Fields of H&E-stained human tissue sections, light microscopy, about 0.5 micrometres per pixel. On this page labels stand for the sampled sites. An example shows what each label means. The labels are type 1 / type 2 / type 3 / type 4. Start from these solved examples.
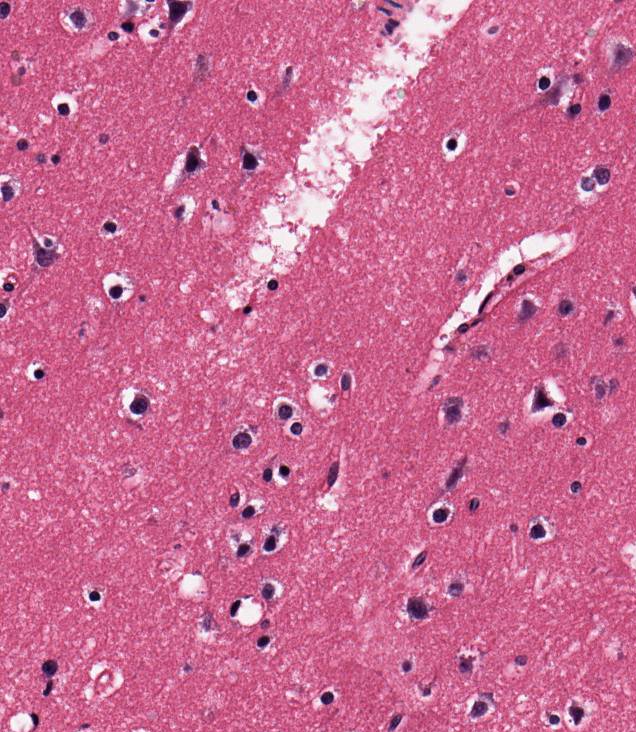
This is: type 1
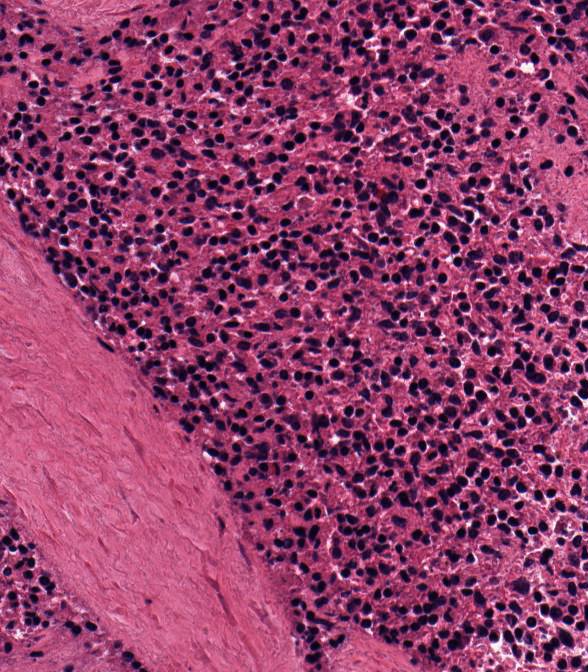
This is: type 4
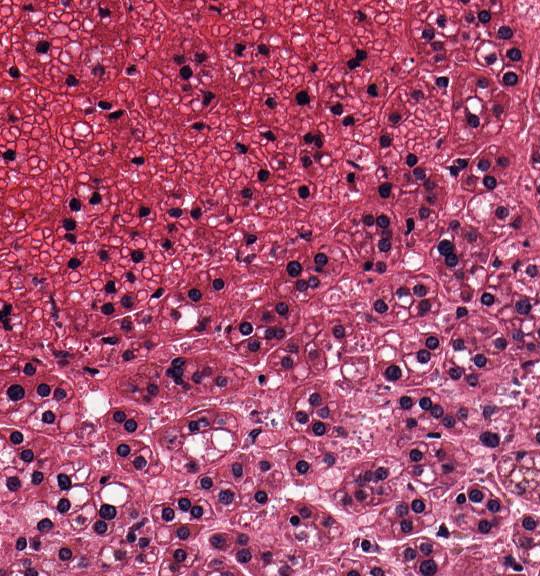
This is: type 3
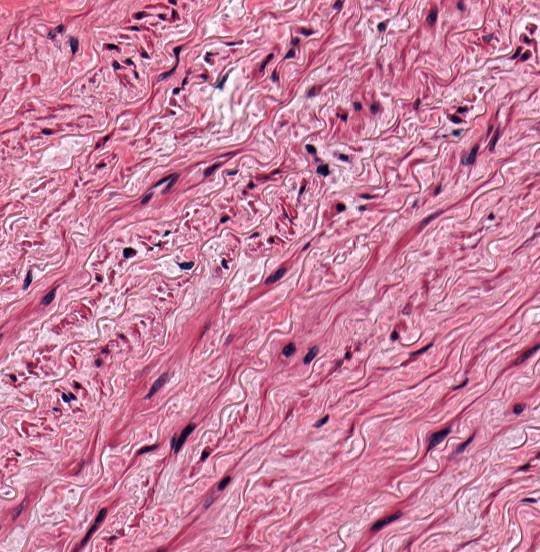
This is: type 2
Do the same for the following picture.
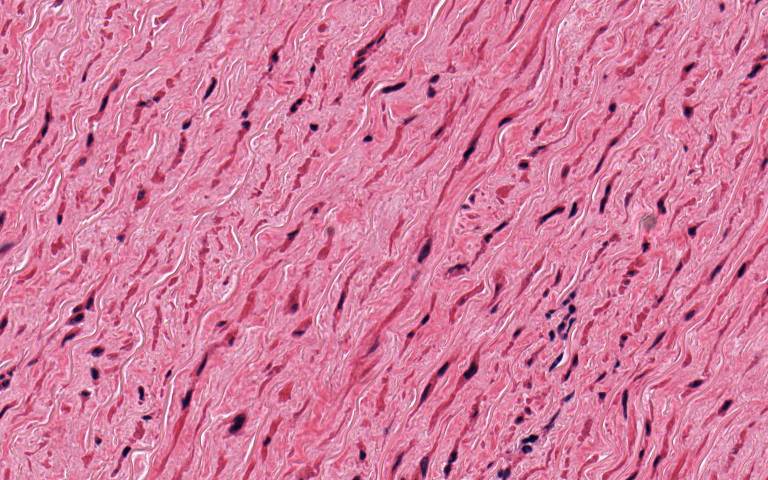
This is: type 2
